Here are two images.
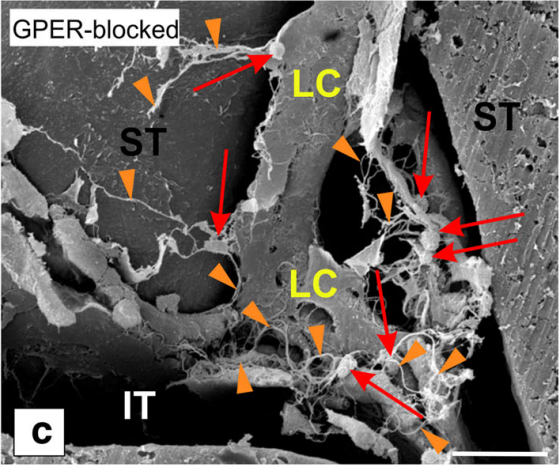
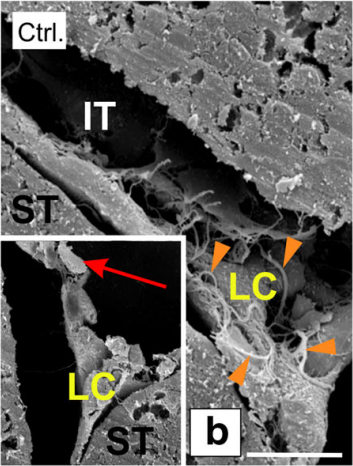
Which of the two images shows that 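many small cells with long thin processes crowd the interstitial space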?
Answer: The first image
